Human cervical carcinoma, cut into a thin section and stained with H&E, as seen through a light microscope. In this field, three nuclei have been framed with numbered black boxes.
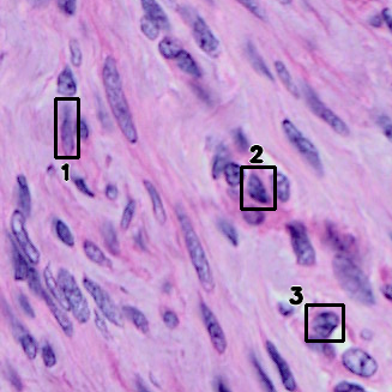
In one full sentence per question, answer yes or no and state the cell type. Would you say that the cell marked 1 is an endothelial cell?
No, the cell given number 1 is a smooth muscle cell, not an endothelial cell.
